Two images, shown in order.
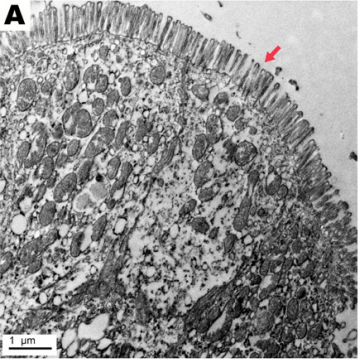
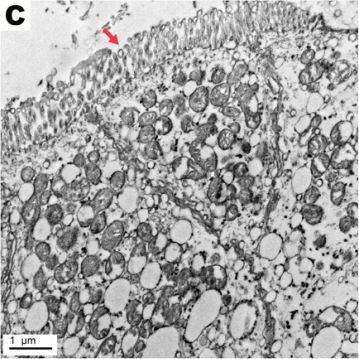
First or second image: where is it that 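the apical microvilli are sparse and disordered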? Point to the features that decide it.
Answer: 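The second image. First image: the brush border is a dense palisade of long, parallel, evenly spaced projections.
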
